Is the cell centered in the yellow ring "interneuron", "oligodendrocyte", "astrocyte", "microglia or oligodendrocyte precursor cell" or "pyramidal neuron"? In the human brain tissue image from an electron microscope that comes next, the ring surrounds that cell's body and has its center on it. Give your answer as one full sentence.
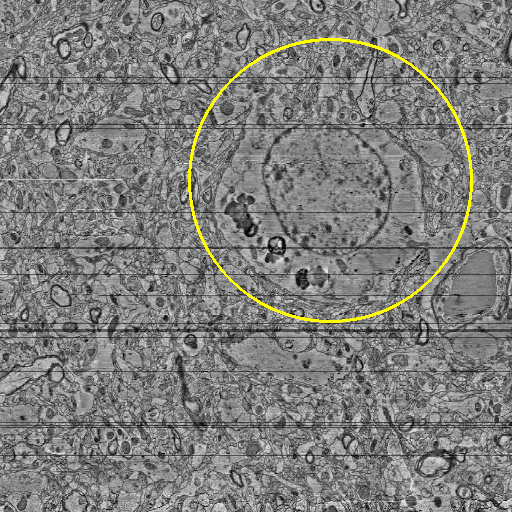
The cell at the center of the yellow ring is an astrocyte in the micrograph.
